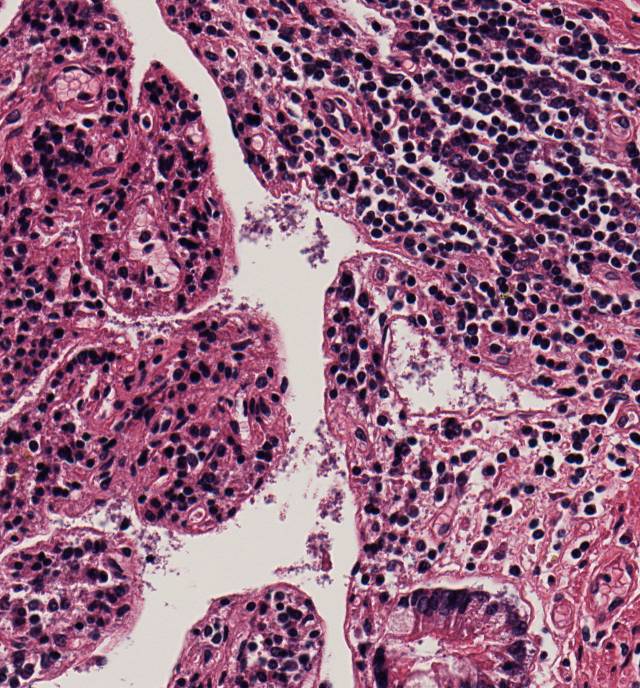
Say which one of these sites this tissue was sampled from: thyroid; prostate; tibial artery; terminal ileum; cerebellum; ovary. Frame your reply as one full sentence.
The tissue in this section derives from the terminal ileum.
